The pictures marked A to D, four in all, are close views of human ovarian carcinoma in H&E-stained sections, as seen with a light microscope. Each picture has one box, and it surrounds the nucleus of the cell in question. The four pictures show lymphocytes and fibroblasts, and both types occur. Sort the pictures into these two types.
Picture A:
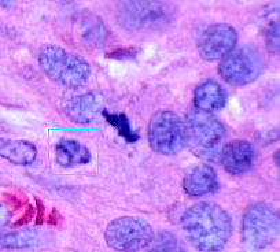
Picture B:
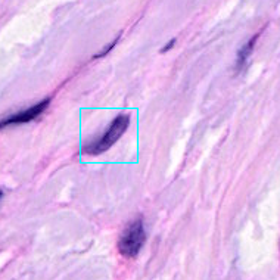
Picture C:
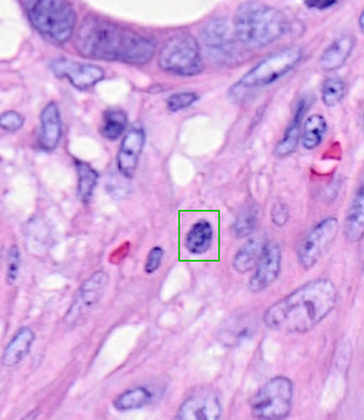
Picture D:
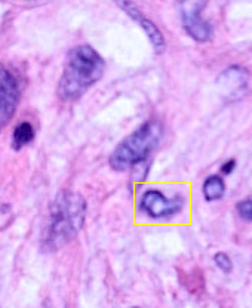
A: lymphocyte
B: fibroblast
C: lymphocyte
D: fibroblast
